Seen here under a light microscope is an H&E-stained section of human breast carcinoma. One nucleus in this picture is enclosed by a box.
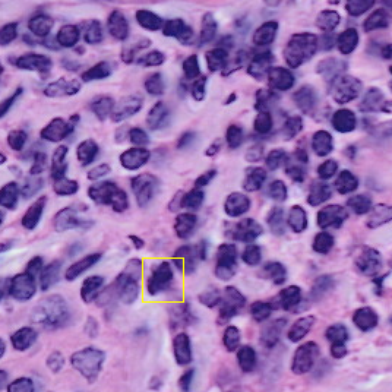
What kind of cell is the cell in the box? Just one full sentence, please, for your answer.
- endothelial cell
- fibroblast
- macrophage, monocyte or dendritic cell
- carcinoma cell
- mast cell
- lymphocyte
Labelled by cell type, the cell in the box is a lymphocyte.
